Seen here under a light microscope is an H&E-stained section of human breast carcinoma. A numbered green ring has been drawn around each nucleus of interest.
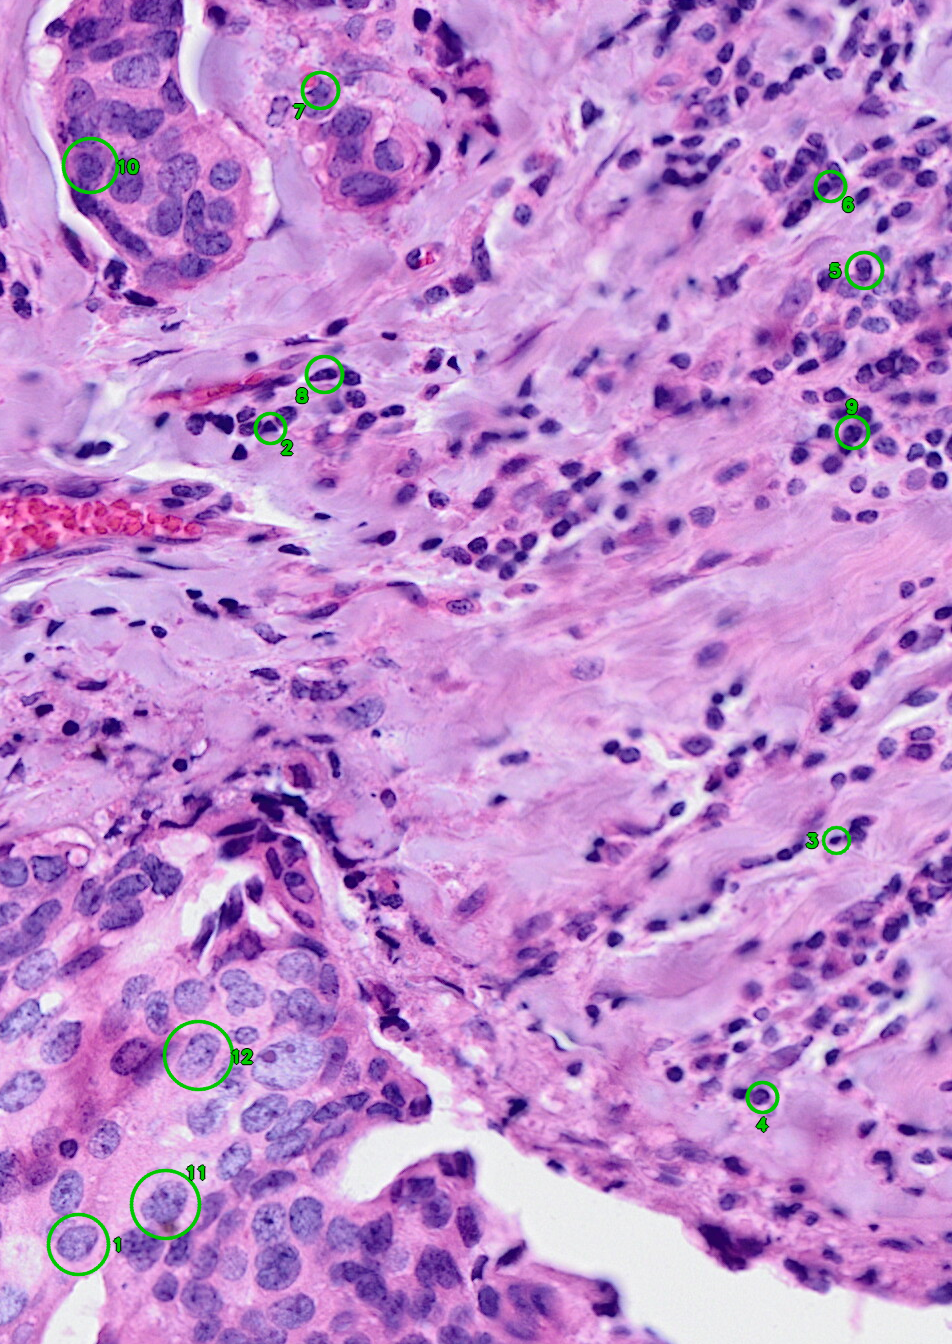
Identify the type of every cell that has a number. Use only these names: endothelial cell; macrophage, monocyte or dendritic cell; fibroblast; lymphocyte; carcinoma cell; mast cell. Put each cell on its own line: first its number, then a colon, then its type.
1: carcinoma cell
2: lymphocyte
3: lymphocyte
4: lymphocyte
5: lymphocyte
6: lymphocyte
7: endothelial cell
8: lymphocyte
9: lymphocyte
10: carcinoma cell
11: carcinoma cell
12: carcinoma cell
